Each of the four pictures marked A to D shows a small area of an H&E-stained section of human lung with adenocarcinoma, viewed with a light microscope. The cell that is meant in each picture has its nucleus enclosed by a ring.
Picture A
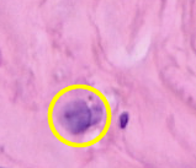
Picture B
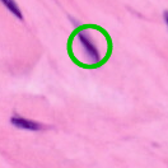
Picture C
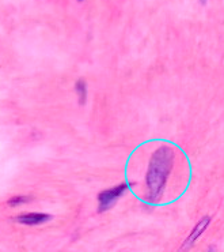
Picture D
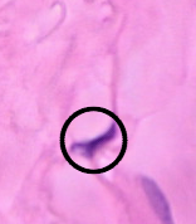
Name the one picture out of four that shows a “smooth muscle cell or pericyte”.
C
